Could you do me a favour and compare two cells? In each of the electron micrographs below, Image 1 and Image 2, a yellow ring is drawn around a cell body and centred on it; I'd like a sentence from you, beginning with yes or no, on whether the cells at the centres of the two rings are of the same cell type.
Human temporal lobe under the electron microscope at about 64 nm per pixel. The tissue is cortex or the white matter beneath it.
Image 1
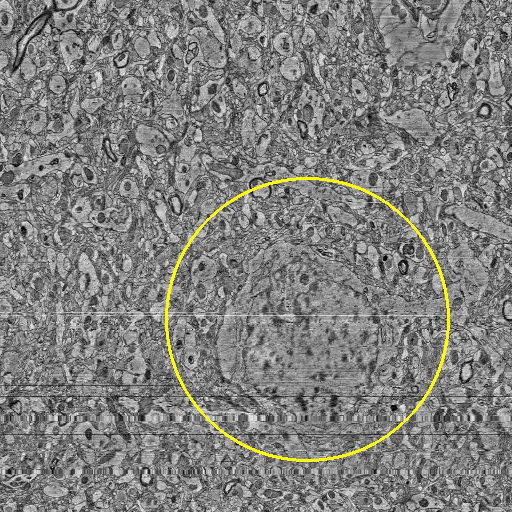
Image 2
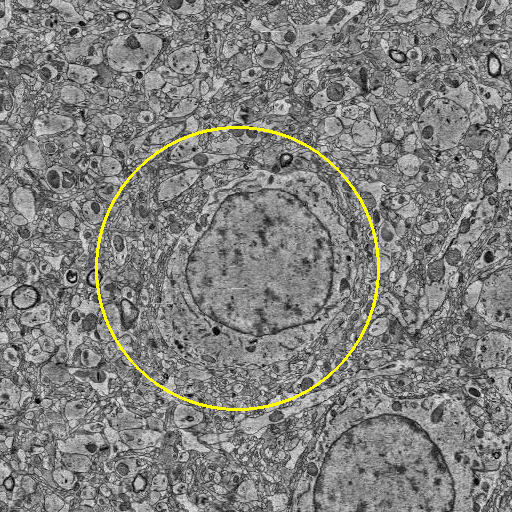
No, the two cells are of two cell types.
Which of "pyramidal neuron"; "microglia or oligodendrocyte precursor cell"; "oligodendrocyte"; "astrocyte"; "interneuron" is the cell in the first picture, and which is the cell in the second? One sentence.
The two differ: the first cell is an interneuron and the second is a pyramidal neuron.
